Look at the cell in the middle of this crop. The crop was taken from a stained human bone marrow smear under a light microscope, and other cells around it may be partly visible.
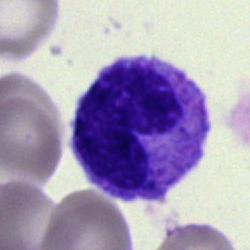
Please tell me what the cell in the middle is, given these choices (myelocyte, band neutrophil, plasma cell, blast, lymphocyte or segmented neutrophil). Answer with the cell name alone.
band neutrophil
